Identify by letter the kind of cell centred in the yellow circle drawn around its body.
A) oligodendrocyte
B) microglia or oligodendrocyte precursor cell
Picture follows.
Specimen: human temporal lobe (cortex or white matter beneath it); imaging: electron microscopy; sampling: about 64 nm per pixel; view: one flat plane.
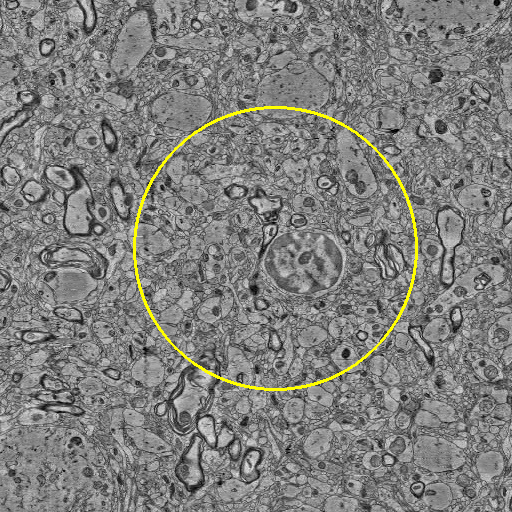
B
